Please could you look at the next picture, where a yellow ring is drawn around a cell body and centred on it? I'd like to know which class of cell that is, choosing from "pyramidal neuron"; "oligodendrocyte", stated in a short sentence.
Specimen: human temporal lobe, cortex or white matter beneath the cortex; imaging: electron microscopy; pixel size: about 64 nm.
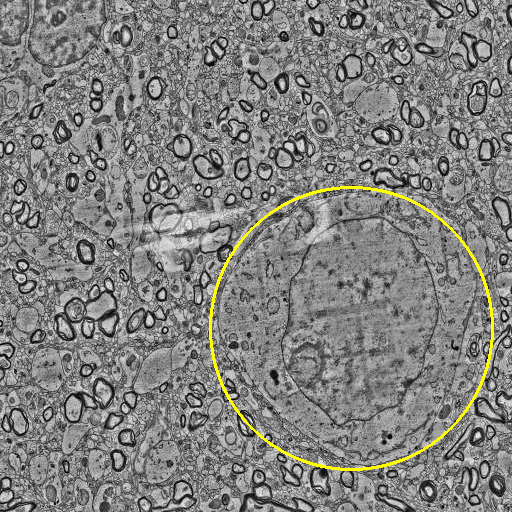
The ring's centre lies on a pyramidal neuron.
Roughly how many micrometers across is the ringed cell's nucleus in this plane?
Approximately 14 by 10 micrometers in this plane.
